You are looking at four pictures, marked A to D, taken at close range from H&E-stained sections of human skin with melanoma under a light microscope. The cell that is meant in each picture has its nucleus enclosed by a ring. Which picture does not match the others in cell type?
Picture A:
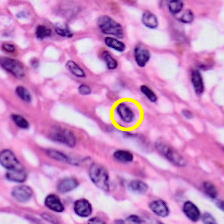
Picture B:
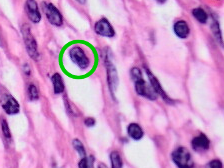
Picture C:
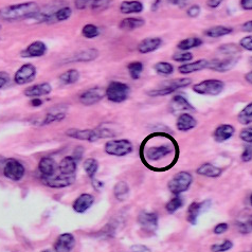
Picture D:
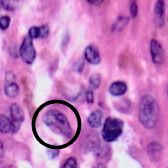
D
